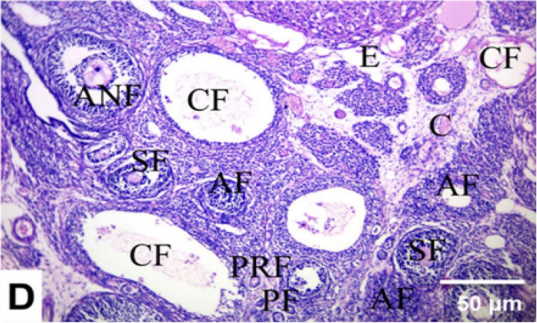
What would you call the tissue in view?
Ovaries.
